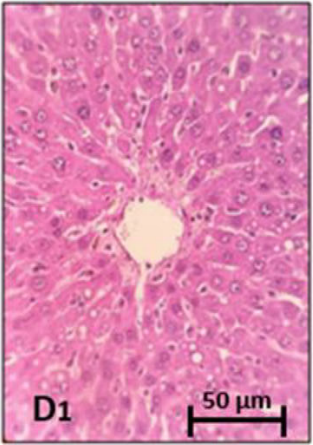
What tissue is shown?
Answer: Liver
